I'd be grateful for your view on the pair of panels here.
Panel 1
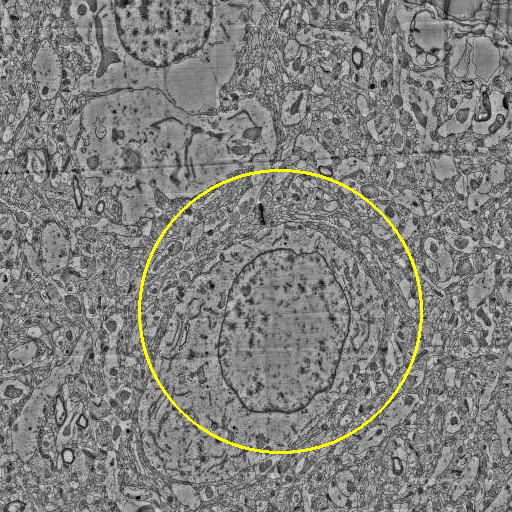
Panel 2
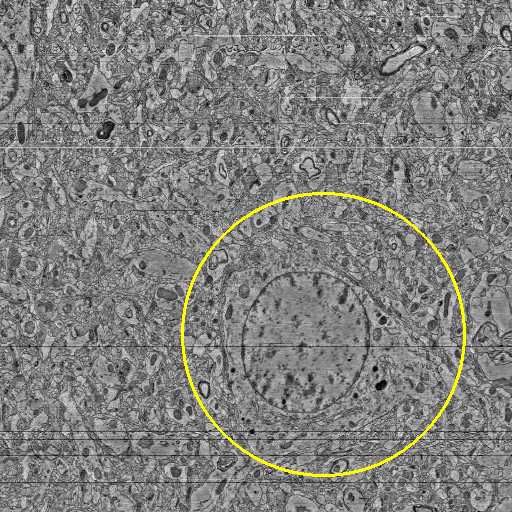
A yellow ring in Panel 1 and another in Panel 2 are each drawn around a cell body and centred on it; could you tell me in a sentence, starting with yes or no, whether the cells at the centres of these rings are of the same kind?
Yes, they are the same kind of cell.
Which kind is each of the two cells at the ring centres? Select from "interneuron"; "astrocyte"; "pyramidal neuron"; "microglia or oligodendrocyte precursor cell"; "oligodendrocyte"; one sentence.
Both the first and the second picture show a pyramidal neuron in the ring.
